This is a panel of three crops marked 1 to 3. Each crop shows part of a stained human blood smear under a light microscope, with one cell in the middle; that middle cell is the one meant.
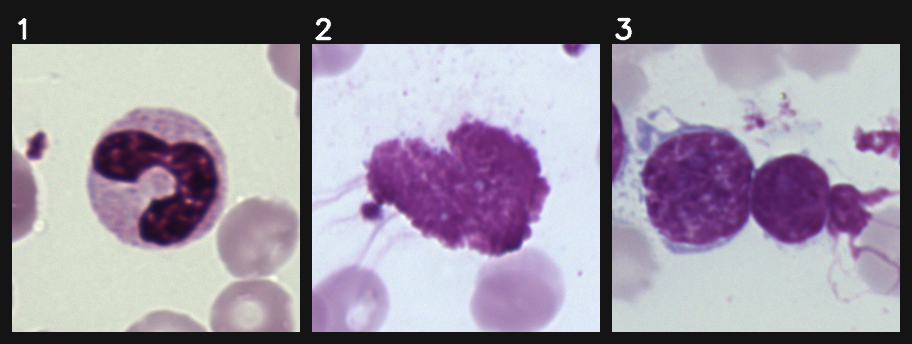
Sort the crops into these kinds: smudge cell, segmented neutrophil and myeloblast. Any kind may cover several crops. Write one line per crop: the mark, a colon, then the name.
1: segmented neutrophil
2: smudge cell
3: myeloblast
